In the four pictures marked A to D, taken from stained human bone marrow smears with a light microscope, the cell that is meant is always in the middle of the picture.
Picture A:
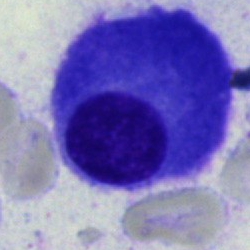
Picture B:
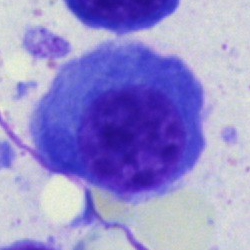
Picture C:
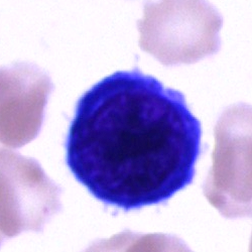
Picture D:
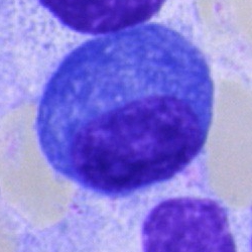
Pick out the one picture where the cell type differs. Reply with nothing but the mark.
C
